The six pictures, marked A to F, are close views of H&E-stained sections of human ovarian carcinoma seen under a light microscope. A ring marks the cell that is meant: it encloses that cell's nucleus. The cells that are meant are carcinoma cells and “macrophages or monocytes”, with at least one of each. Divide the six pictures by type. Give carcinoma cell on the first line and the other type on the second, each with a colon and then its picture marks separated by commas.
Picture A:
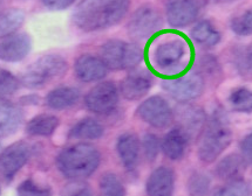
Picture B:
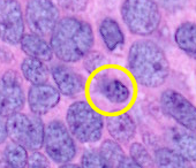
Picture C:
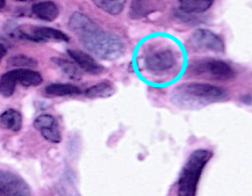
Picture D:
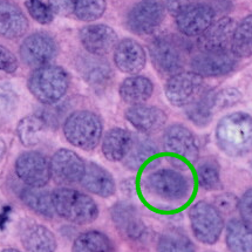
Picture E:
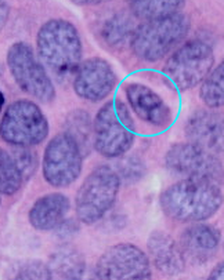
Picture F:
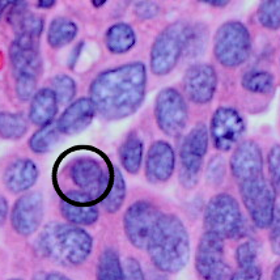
carcinoma cell: D, F
macrophage or monocyte: A, B, C, E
